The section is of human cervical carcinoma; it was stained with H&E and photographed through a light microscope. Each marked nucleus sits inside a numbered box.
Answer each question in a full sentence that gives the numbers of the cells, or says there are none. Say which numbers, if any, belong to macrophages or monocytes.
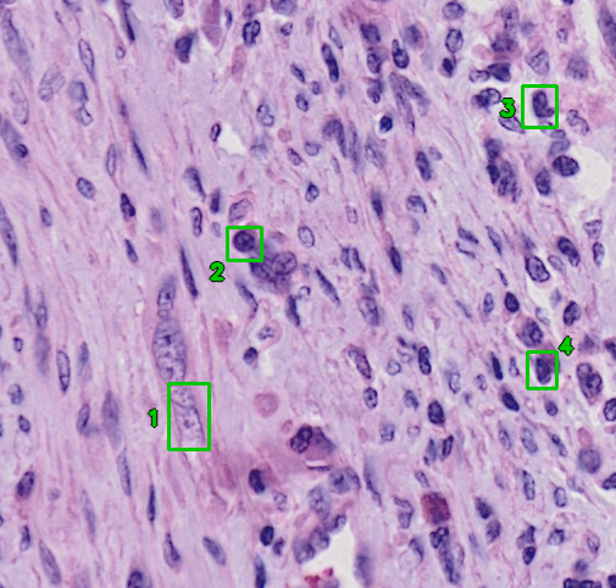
None of the numbered cells are macrophages or monocytes.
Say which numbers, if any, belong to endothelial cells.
The sole numbered cell that is an endothelial cell is cell 1.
